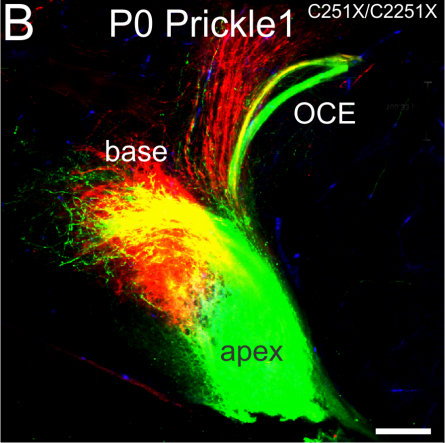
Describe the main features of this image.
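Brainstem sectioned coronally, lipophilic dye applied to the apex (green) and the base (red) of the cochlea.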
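A large green field spreads across the lower part and reaches up into the area of the red fibers, so that much of the upper left appears yellow where both colors overlap. Loose single green and red fibers stray outward at the edges. On the upper right a thin curved bundle of fibers arcs away, distinct from the main mass. Unlike a tidy side-by-side arrangement, the fiber fields here blur into one another.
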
